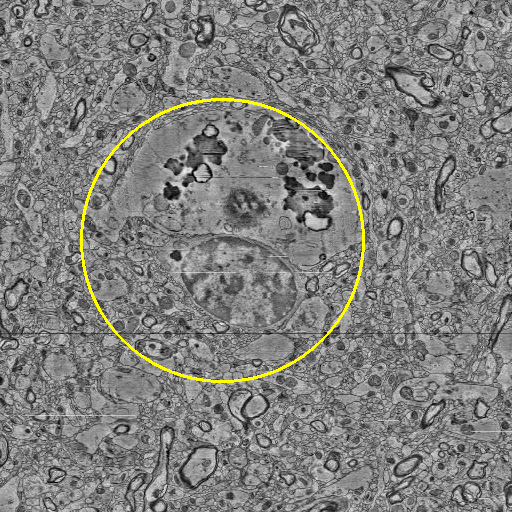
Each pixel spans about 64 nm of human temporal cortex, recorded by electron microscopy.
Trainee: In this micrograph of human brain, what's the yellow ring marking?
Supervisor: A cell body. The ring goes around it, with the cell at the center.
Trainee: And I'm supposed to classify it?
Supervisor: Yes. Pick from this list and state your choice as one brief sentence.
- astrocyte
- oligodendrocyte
The cell at the ring's center is an oligodendrocyte.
